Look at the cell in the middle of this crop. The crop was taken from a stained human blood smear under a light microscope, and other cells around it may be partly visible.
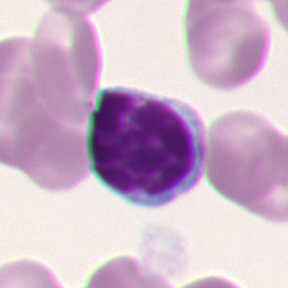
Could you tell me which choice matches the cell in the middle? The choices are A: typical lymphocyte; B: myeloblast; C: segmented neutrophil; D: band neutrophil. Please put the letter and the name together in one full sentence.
The middle cell of the crop is a typical lymphocyte; accordingly, option A is correct.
